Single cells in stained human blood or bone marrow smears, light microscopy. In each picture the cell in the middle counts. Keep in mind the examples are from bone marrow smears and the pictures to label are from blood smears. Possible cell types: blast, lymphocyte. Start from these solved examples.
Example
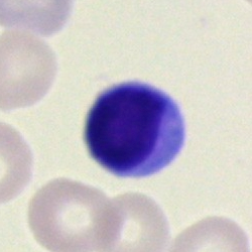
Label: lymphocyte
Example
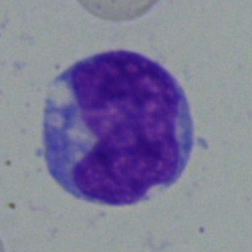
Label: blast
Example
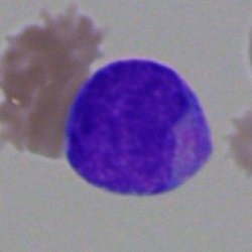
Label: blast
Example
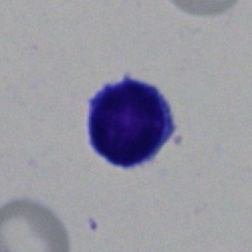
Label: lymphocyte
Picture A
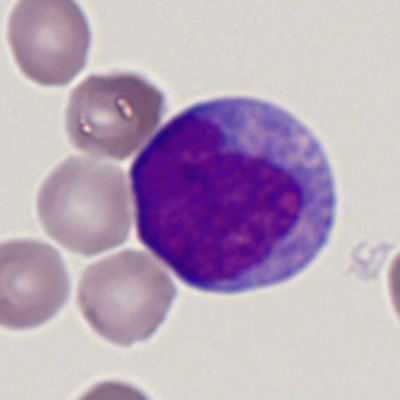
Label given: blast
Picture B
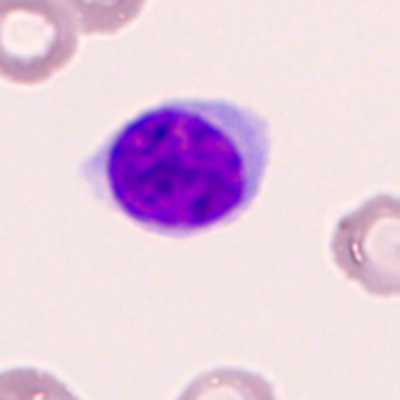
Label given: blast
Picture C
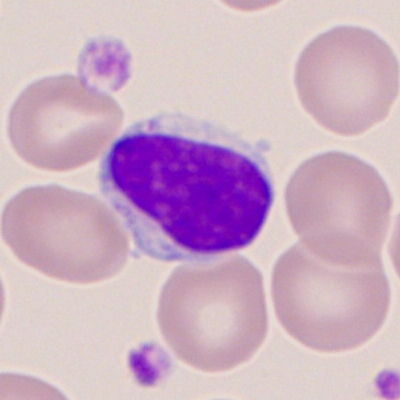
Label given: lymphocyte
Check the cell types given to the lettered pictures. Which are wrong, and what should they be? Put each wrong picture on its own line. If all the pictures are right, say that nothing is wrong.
Wrong: B (blast); correct: lymphocyte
